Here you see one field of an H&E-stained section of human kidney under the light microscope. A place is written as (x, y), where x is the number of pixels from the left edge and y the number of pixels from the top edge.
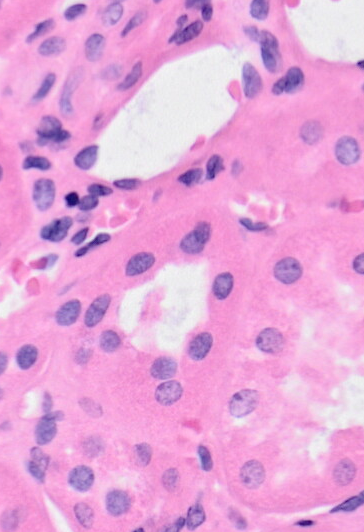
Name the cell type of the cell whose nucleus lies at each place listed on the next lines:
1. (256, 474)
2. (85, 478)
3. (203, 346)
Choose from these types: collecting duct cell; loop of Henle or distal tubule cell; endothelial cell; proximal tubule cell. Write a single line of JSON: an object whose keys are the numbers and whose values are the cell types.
{"1": "proximal tubule cell", "2": "loop of Henle or distal tubule cell", "3": "loop of Henle or distal tubule cell"}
